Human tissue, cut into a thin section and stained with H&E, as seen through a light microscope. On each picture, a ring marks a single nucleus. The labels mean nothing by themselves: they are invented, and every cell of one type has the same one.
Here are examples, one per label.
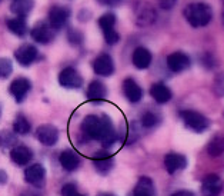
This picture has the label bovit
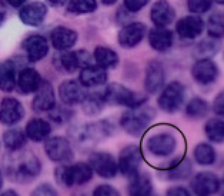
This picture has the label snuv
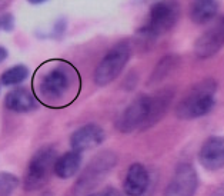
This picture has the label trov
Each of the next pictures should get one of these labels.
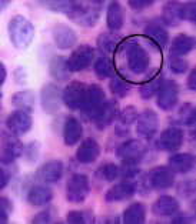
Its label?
snuv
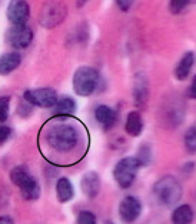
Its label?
trov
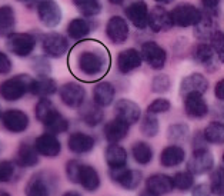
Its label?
snuv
